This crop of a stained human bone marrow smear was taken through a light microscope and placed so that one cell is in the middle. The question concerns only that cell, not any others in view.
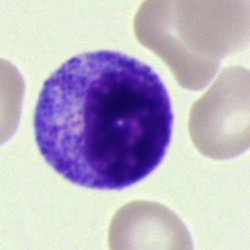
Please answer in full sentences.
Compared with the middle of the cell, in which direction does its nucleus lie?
The nucleus sits off-centre, toward the right.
